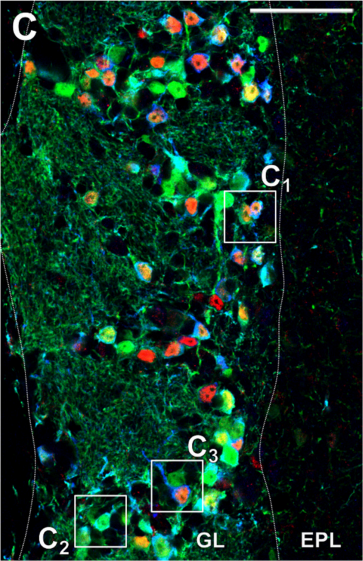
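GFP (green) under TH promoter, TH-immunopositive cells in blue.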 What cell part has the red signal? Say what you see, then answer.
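Red label forms round spots at the centres of cell bodies. The red spots are surrounded by green or blue cytoplasm.
Answer: nuclei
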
